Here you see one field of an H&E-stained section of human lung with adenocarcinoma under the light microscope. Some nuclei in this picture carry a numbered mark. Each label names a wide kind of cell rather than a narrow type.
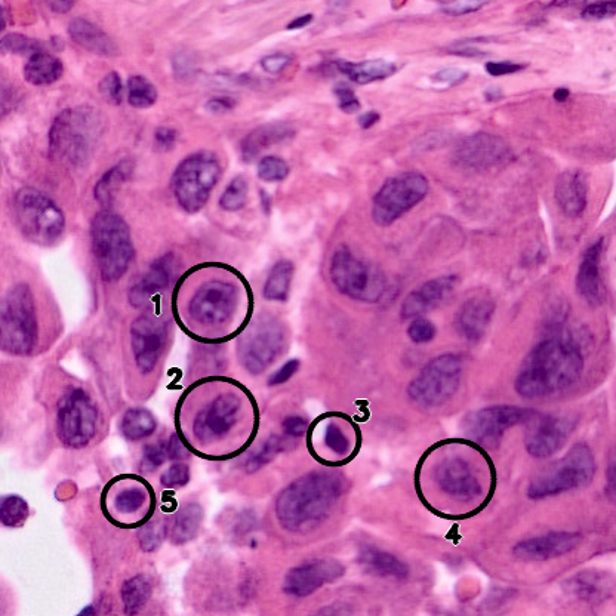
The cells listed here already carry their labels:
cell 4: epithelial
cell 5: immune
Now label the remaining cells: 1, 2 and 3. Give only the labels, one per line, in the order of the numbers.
epithelial
epithelial
immune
